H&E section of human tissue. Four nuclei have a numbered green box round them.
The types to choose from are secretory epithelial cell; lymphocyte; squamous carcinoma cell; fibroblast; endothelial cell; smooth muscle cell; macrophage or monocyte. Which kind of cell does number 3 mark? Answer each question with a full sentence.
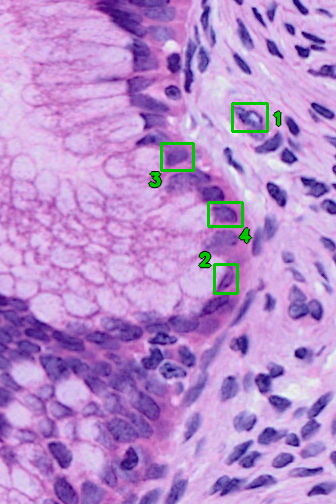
Cell 3 of the marked set is a secretory epithelial cell.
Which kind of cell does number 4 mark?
The cell numbered 4 has been identified as a secretory epithelial cell.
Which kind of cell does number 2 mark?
Belonging to a secretory epithelial cell is the nucleus that carries the number 2.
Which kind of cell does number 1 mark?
The cell pointed out by number 1 is an endothelial cell.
